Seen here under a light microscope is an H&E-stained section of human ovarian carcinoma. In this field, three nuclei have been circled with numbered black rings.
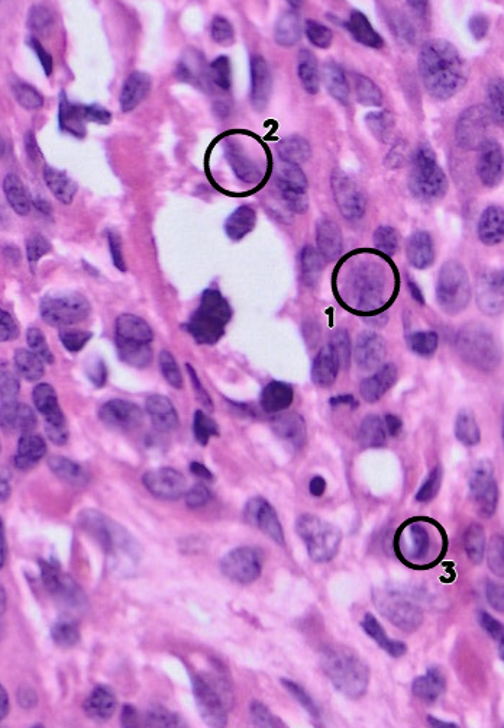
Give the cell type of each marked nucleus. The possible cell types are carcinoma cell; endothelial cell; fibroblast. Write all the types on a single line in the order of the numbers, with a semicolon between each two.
carcinoma cell; carcinoma cell; endothelial cell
